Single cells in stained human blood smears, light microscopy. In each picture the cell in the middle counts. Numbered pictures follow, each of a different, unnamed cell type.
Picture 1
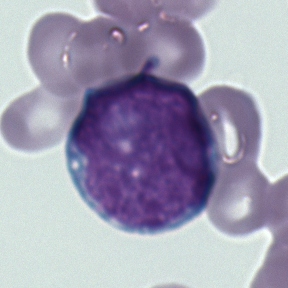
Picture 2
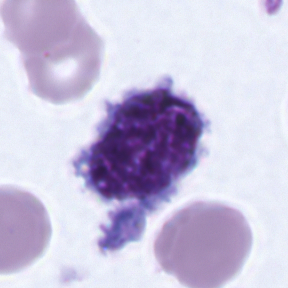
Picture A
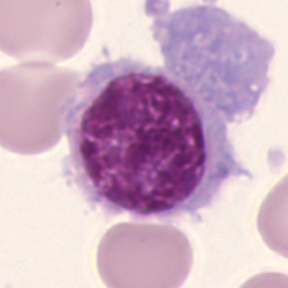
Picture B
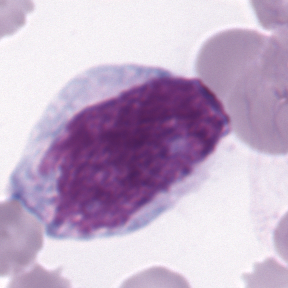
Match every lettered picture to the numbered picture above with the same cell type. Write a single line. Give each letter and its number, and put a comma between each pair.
A 2, B 1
